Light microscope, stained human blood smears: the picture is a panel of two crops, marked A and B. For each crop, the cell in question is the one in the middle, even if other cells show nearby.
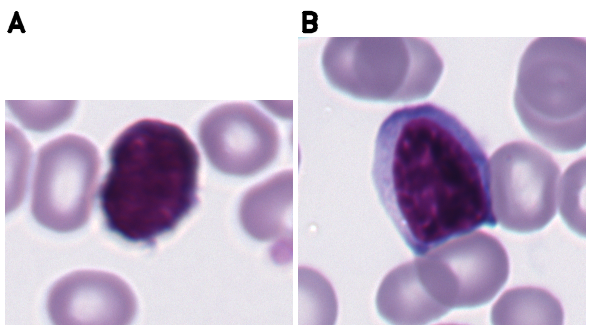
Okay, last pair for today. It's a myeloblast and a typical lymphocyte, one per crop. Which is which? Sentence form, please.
Identified in crop A is a myeloblast, with a typical lymphocyte identified in crop B.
